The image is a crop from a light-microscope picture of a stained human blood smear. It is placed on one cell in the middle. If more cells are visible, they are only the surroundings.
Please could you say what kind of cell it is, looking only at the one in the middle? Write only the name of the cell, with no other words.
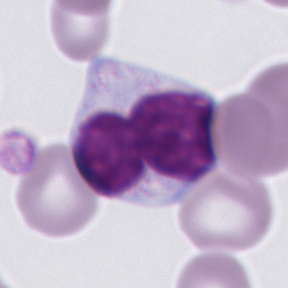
large granular lymphocyte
